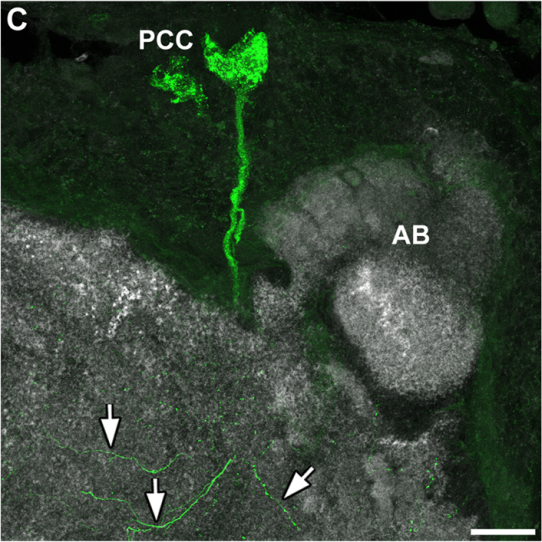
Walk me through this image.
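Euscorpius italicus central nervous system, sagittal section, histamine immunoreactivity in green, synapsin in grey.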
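Bright green cell bodies lie in clumps at the dorsal edge of the brain, and from the larger clump a thick green fibre bundle descends into the grey neuropil beside a rounded, lobed grey structure. Lower in the field, fine beaded green fibres branch and run in different directions across the grey synaptic neuropil.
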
